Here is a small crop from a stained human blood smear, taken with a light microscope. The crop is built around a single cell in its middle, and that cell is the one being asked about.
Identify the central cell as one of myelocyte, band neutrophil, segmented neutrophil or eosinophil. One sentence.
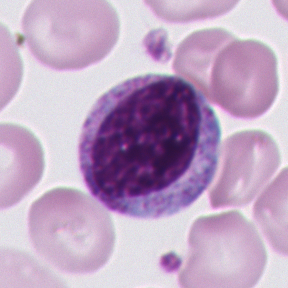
In short, the cell at the center is a myelocyte.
